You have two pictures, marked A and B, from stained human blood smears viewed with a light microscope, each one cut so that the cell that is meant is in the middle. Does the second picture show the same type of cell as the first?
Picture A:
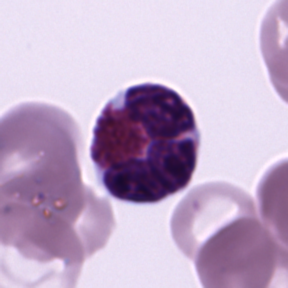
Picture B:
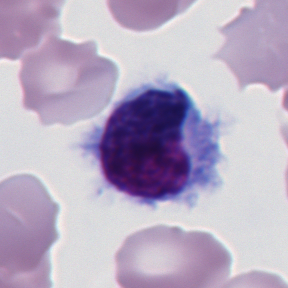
no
